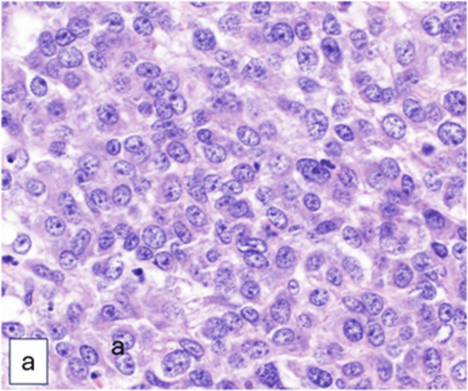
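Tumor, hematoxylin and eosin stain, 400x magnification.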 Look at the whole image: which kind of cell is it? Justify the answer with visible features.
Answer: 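Densely packed cells form a continuous sheet without glands or other organised structures. Cytoplasm is scant to moderate and pale pink.
Conclusion: undifferentiated round cells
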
